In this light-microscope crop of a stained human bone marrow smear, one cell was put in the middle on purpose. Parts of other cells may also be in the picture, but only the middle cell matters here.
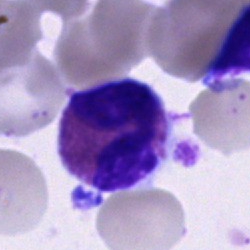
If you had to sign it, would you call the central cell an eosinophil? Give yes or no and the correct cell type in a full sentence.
Yes, the cell sitting in the middle of this smear crop is an eosinophil.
